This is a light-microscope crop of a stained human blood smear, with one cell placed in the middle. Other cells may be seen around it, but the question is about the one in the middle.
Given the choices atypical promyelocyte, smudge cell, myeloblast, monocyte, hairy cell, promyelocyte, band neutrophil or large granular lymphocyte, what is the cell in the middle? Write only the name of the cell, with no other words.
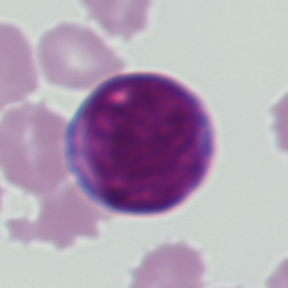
myeloblast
